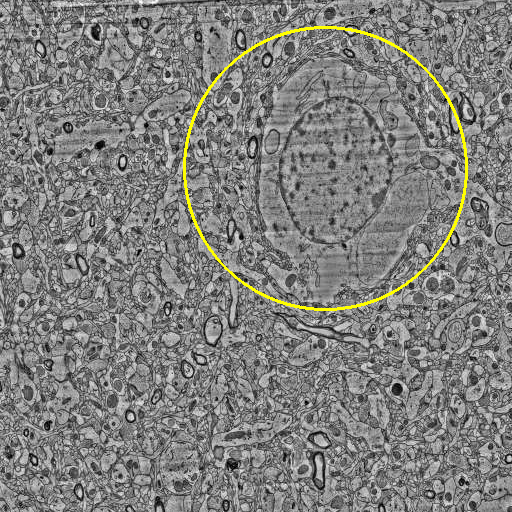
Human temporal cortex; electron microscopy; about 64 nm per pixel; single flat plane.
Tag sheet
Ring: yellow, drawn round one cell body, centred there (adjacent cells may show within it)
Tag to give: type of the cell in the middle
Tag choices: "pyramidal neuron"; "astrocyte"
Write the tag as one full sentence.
I tag the cell centred in the yellow ring as an astrocyte in this picture.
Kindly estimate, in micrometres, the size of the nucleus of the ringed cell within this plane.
The nucleus has a long axis of about 10 micrometres and a short axis of about 7 micrometres in this plane.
